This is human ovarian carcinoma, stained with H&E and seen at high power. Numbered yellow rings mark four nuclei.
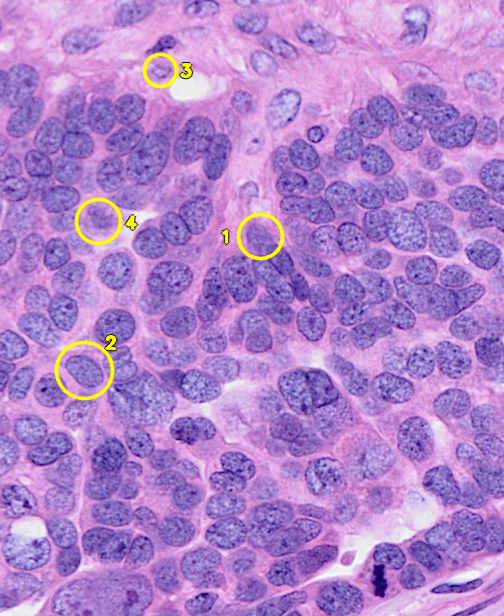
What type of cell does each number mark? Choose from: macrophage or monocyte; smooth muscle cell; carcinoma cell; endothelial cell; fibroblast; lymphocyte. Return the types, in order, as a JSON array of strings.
["carcinoma cell", "carcinoma cell", "fibroblast", "carcinoma cell"]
